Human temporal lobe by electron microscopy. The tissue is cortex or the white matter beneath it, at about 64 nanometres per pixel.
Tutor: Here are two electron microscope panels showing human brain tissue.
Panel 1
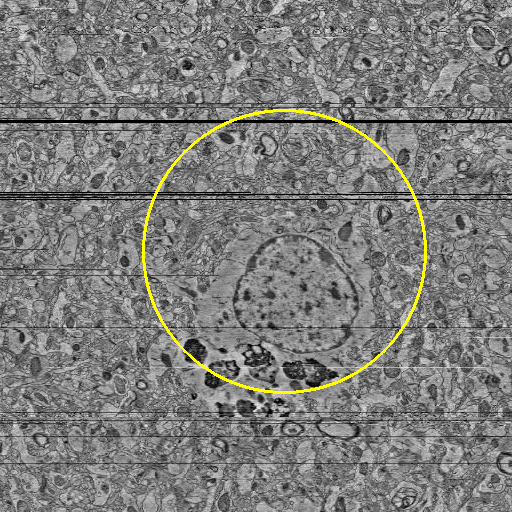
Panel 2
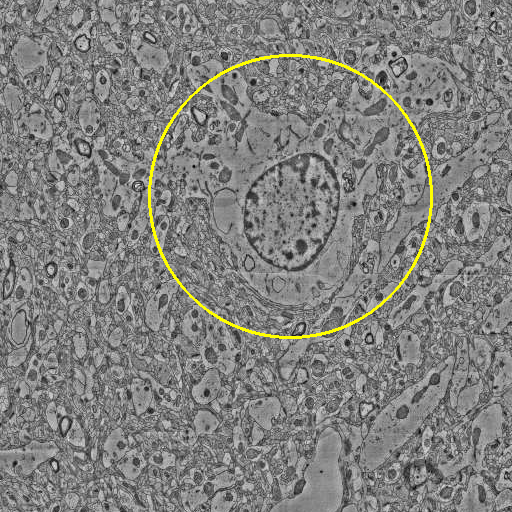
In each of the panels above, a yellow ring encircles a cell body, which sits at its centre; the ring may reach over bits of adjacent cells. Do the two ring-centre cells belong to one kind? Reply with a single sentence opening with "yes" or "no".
Yes, the two cells sitting at the ring centres in the panels belong to one kind.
